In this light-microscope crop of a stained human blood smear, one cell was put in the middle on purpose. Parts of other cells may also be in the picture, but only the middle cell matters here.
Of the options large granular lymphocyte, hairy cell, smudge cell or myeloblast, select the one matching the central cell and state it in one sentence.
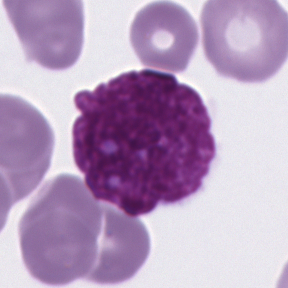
By classification, the middle cell of this crop is a smudge cell.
